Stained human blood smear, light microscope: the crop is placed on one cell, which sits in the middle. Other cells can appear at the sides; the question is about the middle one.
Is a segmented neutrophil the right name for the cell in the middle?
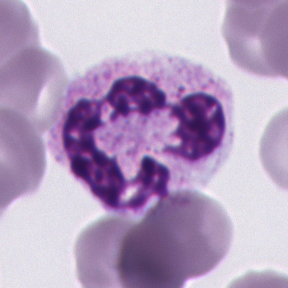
yes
